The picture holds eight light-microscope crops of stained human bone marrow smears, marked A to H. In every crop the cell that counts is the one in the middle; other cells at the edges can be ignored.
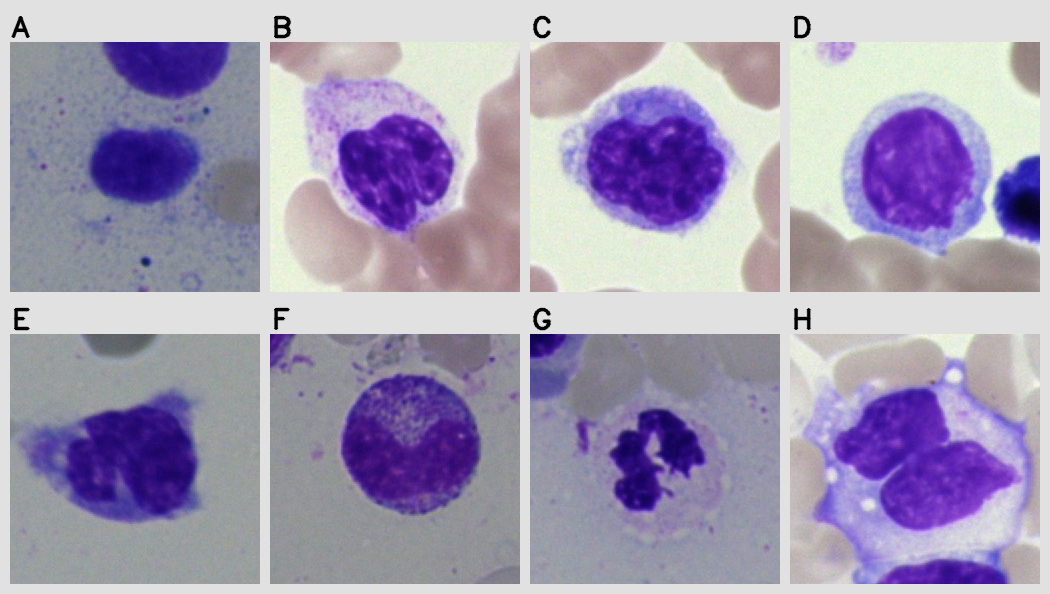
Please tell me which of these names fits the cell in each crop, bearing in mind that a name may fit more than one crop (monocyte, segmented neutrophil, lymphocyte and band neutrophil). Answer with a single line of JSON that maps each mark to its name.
{"A": "lymphocyte", "B": "segmented neutrophil", "C": "monocyte", "D": "lymphocyte", "E": "monocyte", "F": "band neutrophil", "G": "segmented neutrophil", "H": "monocyte"}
